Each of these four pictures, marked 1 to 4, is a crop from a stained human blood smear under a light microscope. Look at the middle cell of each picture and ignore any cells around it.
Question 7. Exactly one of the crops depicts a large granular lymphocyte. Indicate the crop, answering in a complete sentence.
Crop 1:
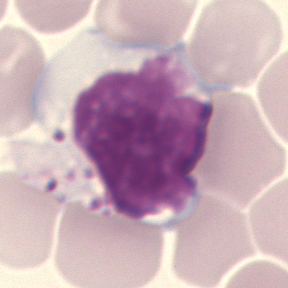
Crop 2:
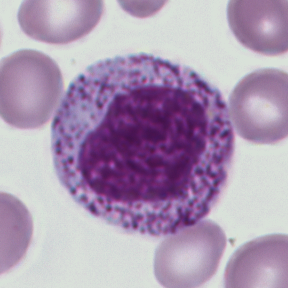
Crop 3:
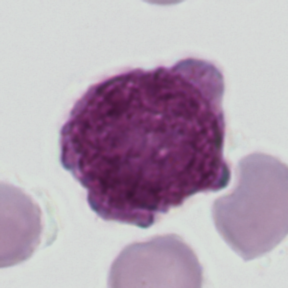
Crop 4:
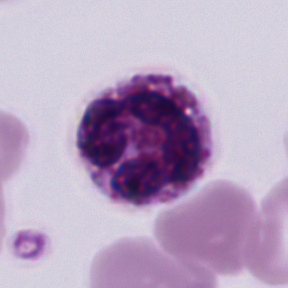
Among the crops provided, a large granular lymphocyte occupies the center of crop 1.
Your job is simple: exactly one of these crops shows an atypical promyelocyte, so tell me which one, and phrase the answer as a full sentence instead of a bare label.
The one showing an atypical promyelocyte is crop 3.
